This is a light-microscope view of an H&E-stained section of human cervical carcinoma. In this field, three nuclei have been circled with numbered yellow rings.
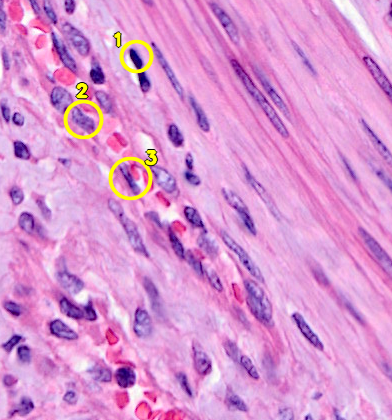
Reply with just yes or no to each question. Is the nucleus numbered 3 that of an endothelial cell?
yes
